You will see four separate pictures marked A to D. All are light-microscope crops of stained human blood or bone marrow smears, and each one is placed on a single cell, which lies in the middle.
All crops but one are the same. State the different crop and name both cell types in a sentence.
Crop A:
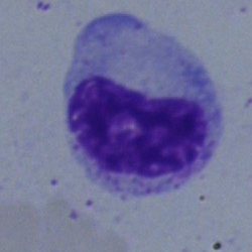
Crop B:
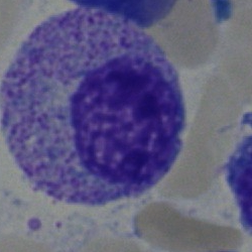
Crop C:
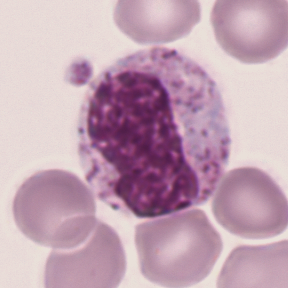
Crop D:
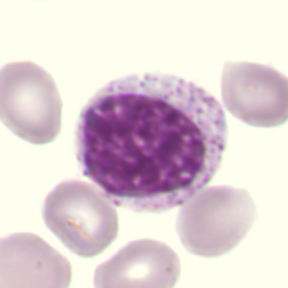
The different crop is crop B, a myelocyte; all the others show metamyelocytes.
